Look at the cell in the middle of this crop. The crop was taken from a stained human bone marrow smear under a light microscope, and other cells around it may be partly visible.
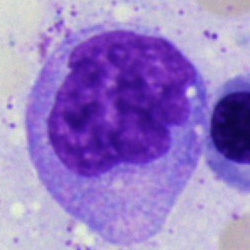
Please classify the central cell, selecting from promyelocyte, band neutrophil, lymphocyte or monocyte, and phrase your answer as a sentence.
Occupying the centre of the crop is a monocyte.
